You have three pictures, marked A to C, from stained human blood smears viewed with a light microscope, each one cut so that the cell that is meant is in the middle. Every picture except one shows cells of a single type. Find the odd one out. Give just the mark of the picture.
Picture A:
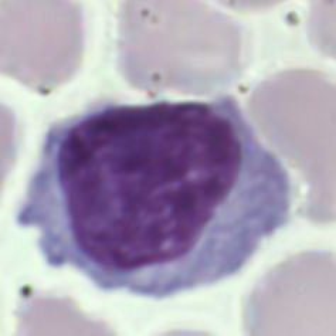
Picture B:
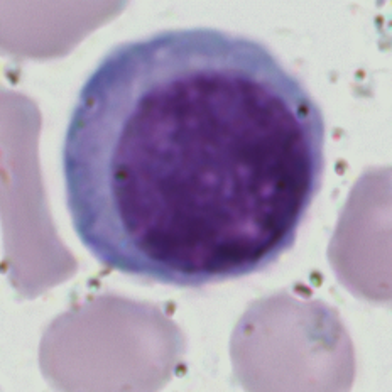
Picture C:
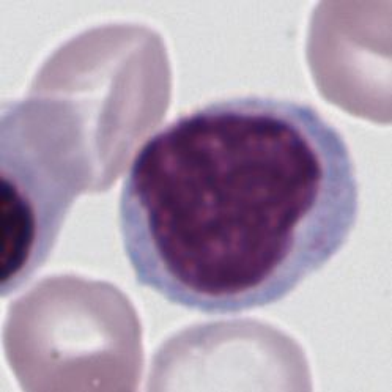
C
